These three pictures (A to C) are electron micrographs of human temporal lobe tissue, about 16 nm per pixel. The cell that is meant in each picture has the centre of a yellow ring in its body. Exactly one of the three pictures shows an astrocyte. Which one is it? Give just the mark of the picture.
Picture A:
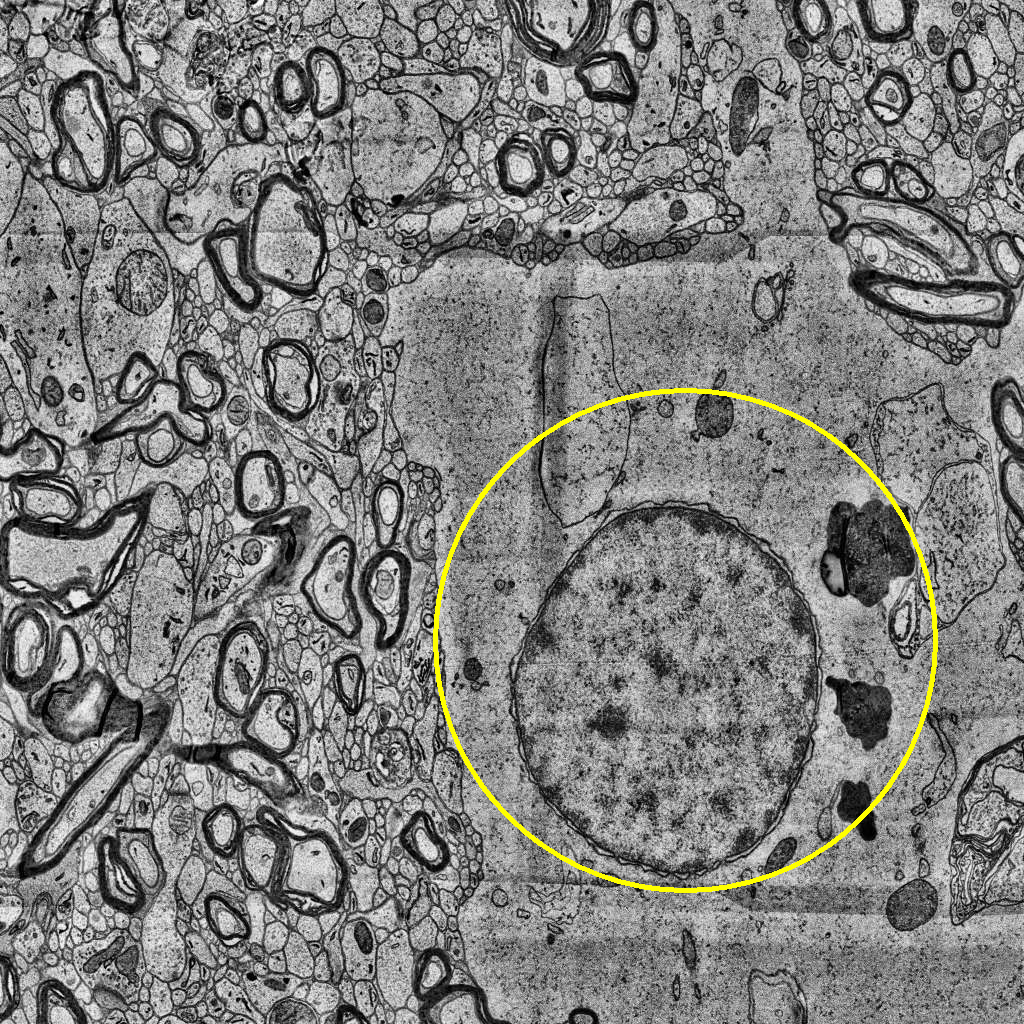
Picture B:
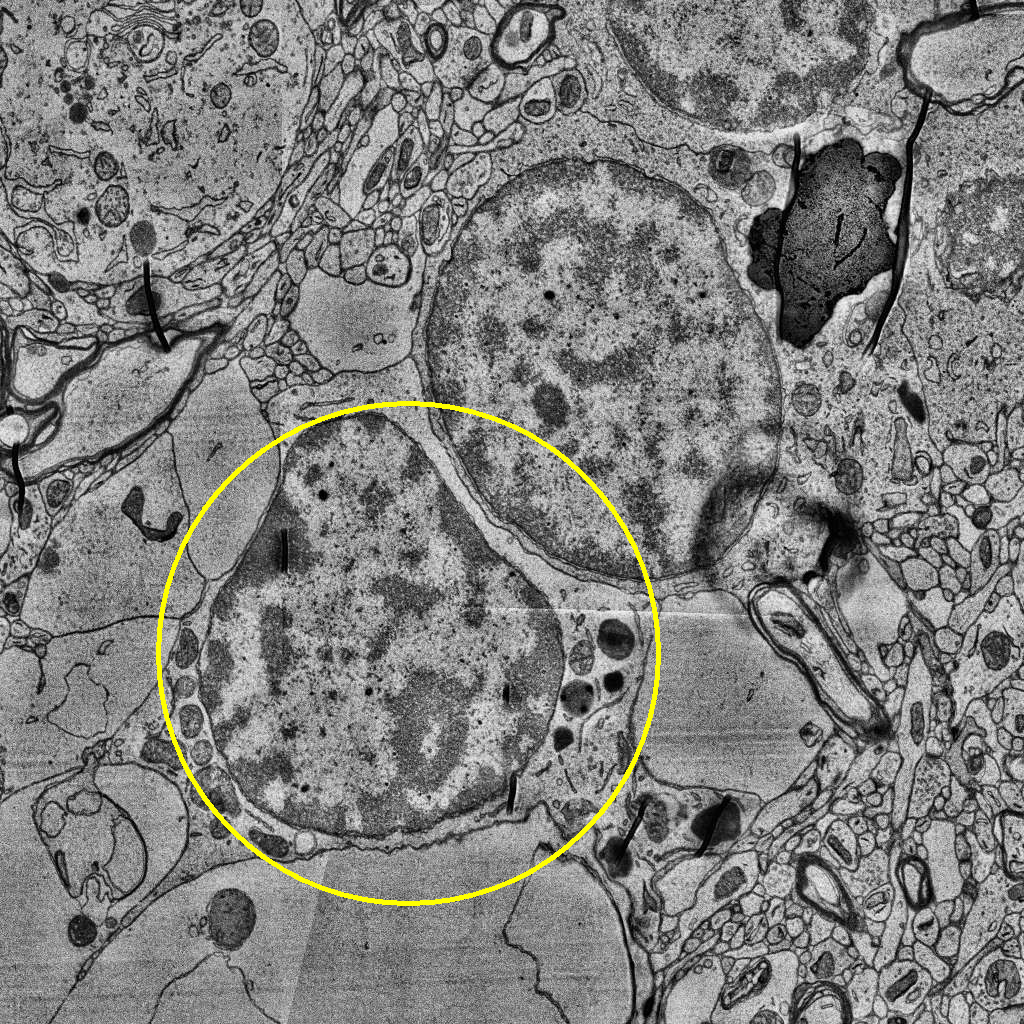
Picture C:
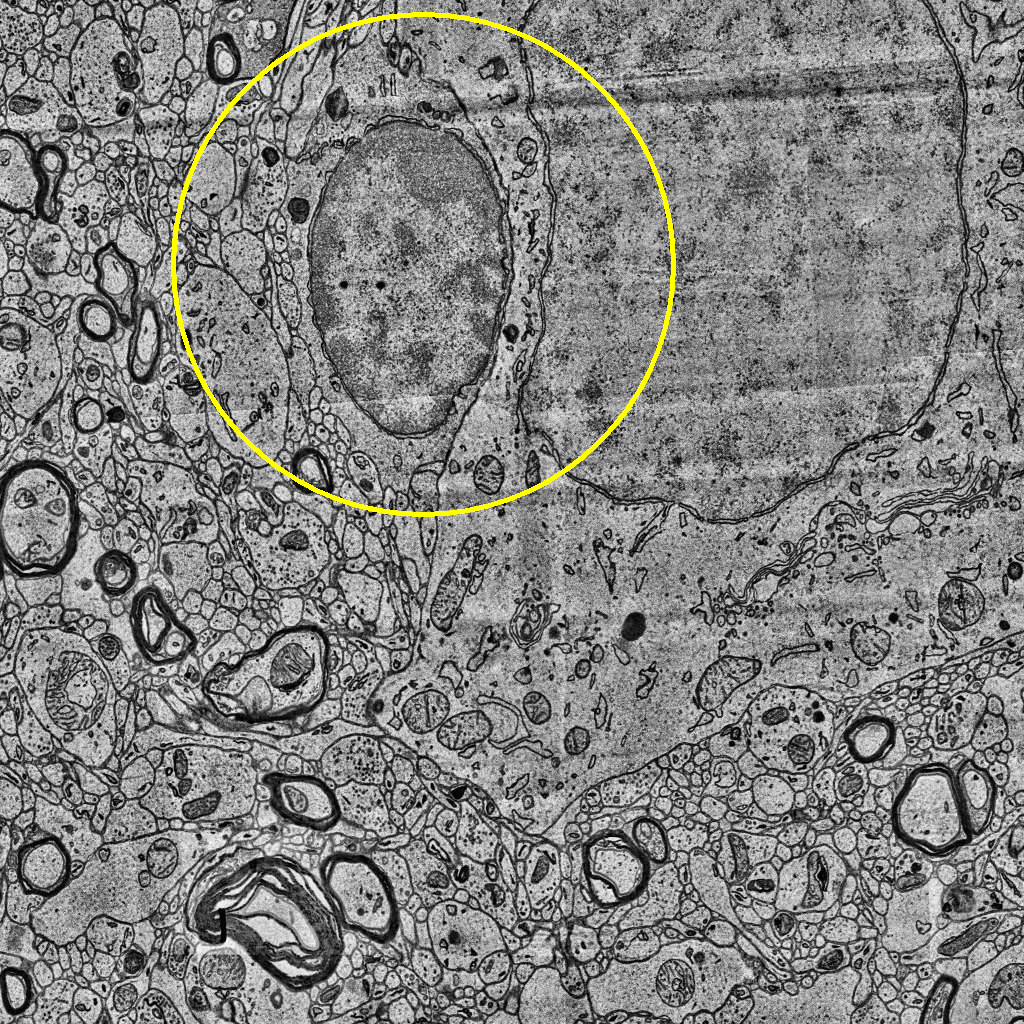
A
